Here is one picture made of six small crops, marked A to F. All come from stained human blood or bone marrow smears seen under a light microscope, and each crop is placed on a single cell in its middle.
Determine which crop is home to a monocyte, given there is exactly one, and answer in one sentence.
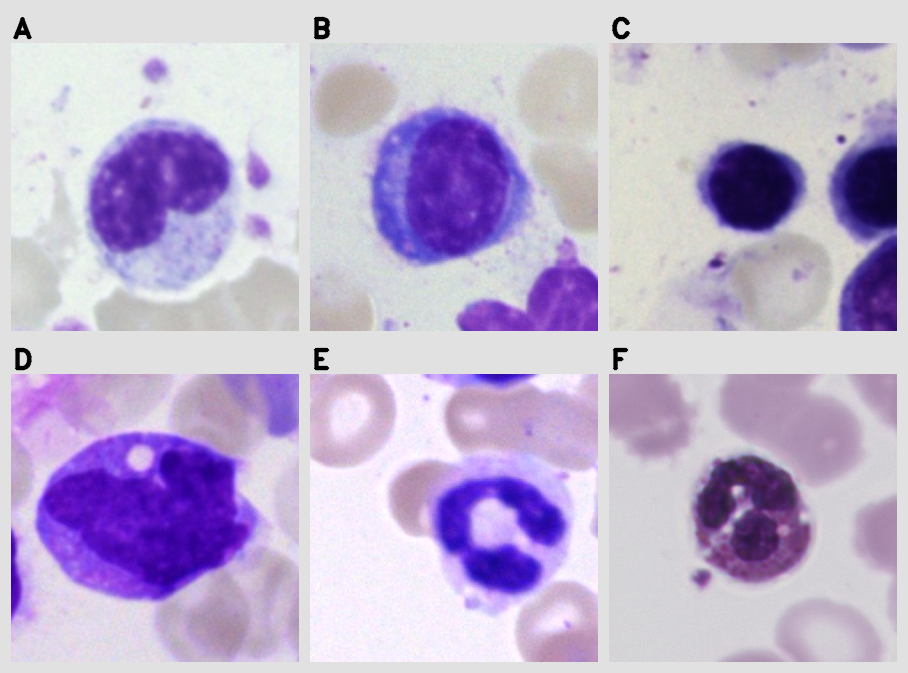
Crop D is the single crop that shows a monocyte.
